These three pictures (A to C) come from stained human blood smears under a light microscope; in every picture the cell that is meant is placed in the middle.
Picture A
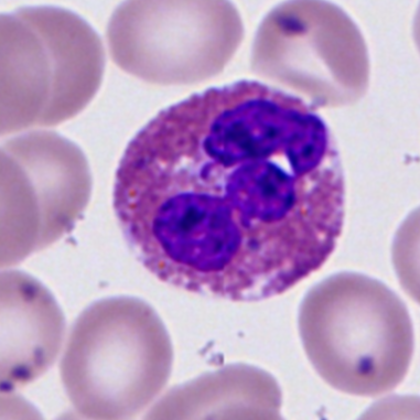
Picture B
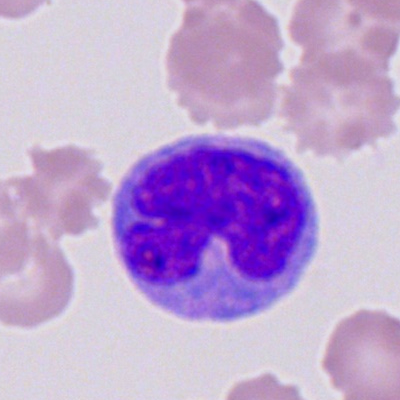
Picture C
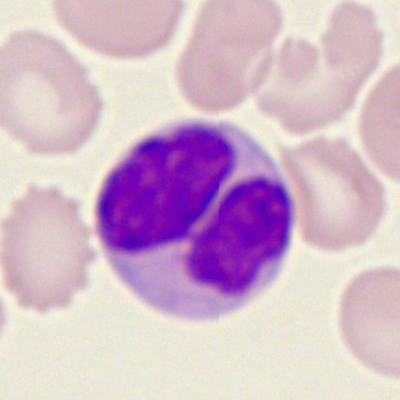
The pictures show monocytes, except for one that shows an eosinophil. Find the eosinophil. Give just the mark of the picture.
A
